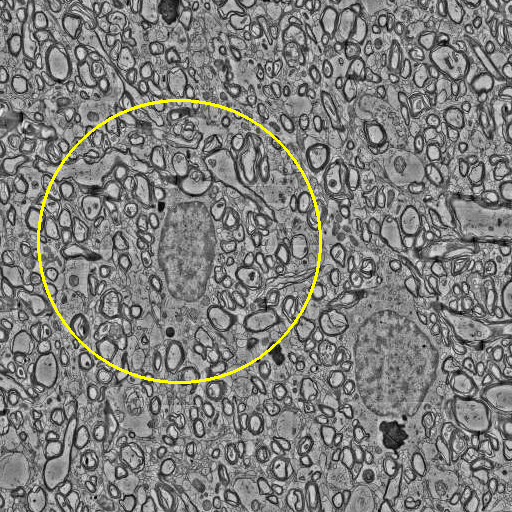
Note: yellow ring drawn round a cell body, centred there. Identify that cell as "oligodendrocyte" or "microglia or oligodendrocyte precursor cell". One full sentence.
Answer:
The cell in the middle of the ring is an oligodendrocyte.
